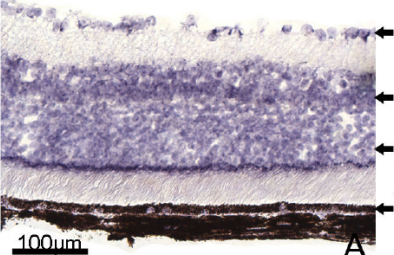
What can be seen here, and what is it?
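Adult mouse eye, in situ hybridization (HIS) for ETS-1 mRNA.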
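Section of retina with purple staining across its cellular layers. A sparse row of stained cells sits at the inner surface above a pale band. Below lies a thick zone of packed, purple-stained round nuclei, edged by a darker thin line, then a pale striated zone. A dense black pigmented band lines the outer side.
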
